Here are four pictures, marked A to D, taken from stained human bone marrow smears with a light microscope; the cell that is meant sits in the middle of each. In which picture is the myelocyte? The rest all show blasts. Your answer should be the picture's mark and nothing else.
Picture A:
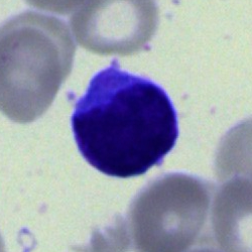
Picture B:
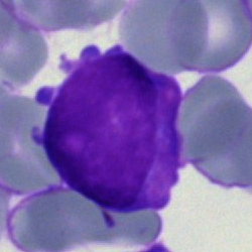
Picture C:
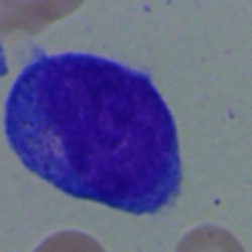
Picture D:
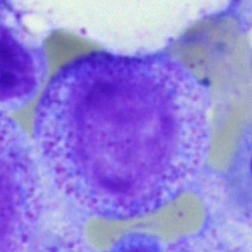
D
